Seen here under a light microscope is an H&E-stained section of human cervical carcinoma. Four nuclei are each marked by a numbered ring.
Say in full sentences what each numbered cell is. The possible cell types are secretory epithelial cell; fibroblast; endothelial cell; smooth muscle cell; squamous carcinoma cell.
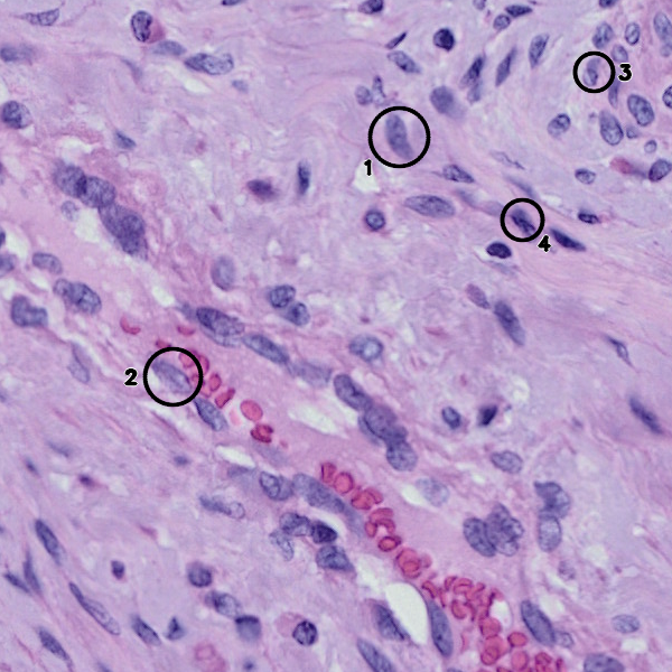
Cell 1 is a fibroblast. Cells 2 and 4 are endothelial cells. Cell 3 is a smooth muscle cell.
